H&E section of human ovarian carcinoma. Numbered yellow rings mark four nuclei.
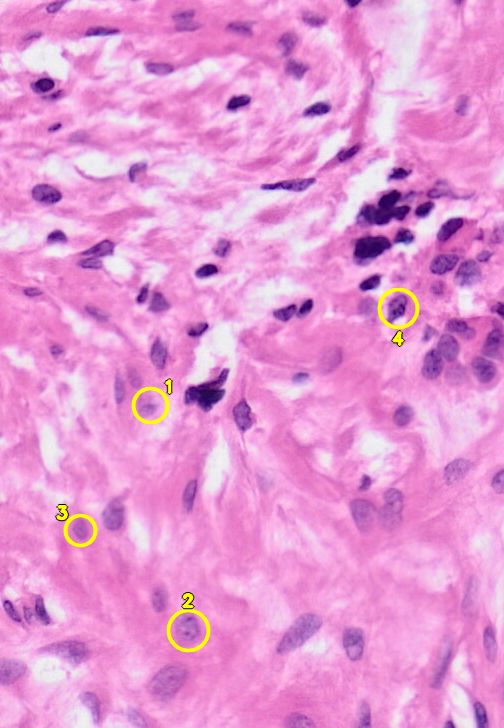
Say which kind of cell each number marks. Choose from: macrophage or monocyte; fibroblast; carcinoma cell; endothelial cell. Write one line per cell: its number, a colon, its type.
1: fibroblast
2: fibroblast
3: fibroblast
4: macrophage or monocyte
